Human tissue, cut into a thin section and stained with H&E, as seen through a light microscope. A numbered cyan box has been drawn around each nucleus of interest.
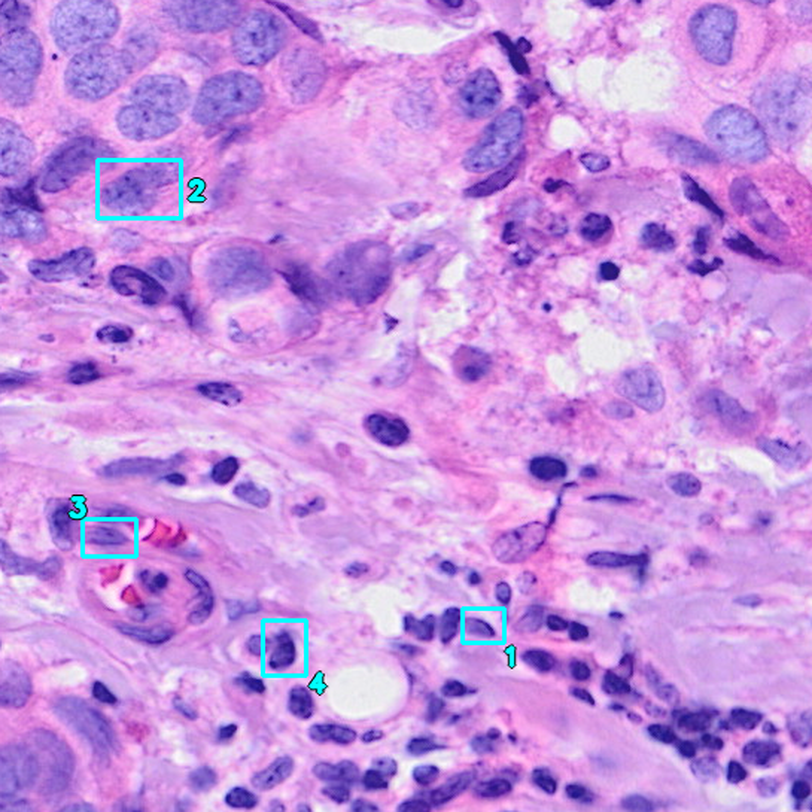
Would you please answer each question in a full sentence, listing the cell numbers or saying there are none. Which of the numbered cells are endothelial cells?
As for the numbered cells, only cell 3 is an endothelial cell.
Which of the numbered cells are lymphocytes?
Classified as lymphocytes are the cells numbered 1 and 4.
